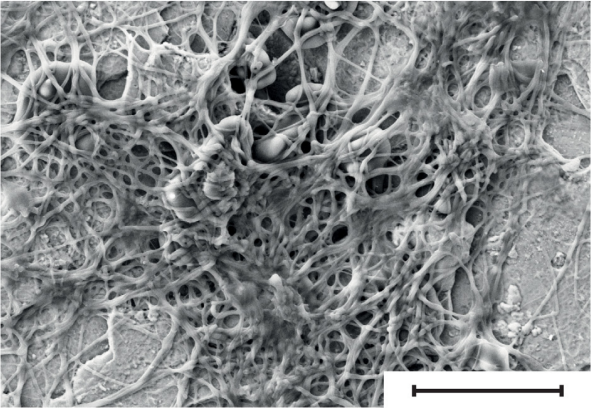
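A dense network of thick, interlacing fibres spreads over nearly the whole field, forming loops and open meshes of varying size. The fibres branch and fuse with one another and stand out in relief above the underlying surface. Small rounded bodies are caught among the fibres and attached to them. In places the underlying flat surface shows through the holes of the mesh.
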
